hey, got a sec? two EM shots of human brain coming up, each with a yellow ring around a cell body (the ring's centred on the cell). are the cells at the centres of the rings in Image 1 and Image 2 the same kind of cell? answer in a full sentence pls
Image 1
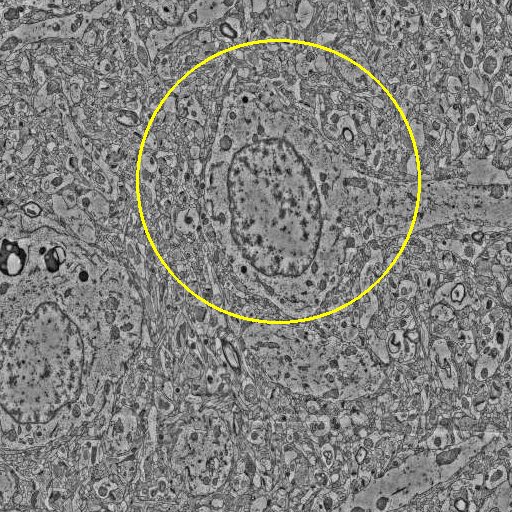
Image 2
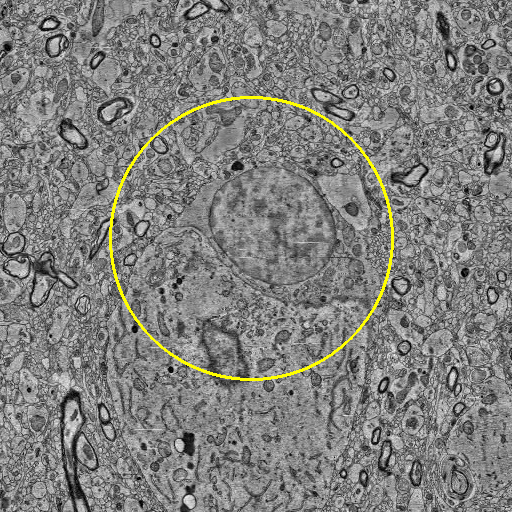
No, they are two kinds of cell.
